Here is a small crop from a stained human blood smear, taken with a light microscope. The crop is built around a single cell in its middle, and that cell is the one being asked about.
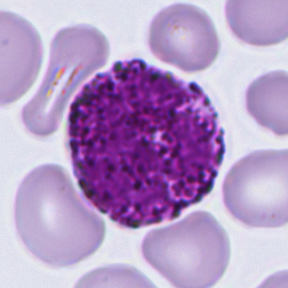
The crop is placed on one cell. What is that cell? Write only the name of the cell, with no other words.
basophil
